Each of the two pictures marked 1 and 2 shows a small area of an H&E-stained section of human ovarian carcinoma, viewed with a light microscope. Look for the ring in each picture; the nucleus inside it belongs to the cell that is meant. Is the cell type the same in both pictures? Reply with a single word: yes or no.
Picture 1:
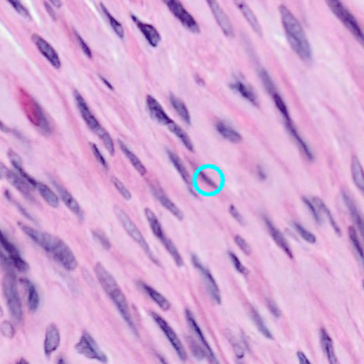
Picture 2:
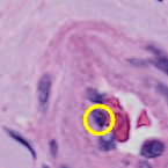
no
